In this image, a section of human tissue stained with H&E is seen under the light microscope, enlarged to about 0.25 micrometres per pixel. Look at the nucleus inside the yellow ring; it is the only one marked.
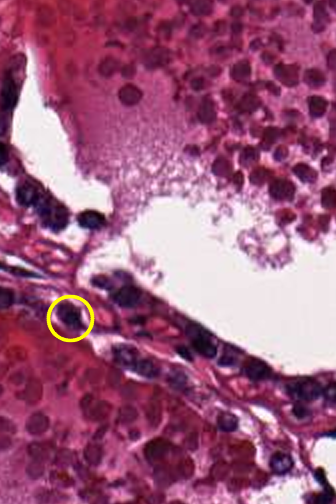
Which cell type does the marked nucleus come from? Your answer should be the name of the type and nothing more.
thyroid follicular cell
